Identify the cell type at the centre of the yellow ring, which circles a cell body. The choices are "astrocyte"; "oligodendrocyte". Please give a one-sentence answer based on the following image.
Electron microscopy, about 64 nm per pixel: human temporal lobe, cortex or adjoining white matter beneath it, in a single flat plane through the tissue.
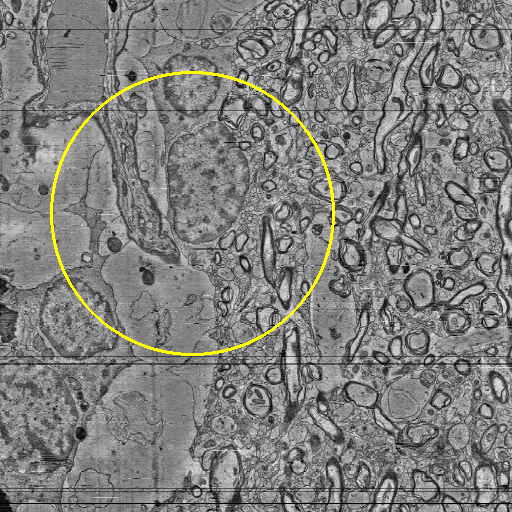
The cell marked by the ring is an oligodendrocyte.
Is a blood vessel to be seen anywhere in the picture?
Yes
